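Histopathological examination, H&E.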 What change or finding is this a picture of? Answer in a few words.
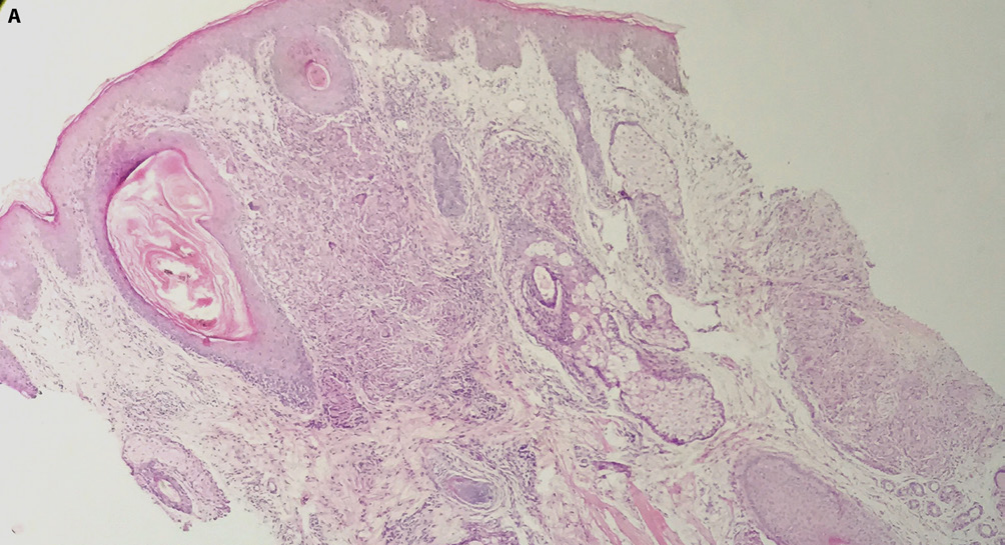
Follicular plugging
